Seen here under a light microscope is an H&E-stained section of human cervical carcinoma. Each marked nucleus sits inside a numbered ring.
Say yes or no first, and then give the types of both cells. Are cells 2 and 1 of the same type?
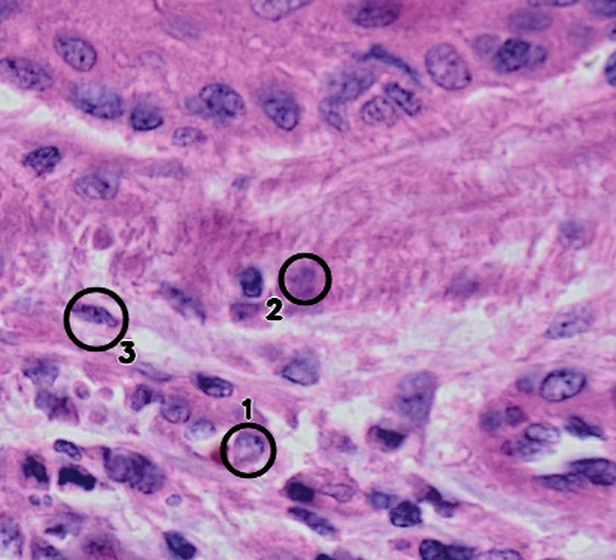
No, while cell 2 is a fibroblast, cell 1 is an endothelial cell.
